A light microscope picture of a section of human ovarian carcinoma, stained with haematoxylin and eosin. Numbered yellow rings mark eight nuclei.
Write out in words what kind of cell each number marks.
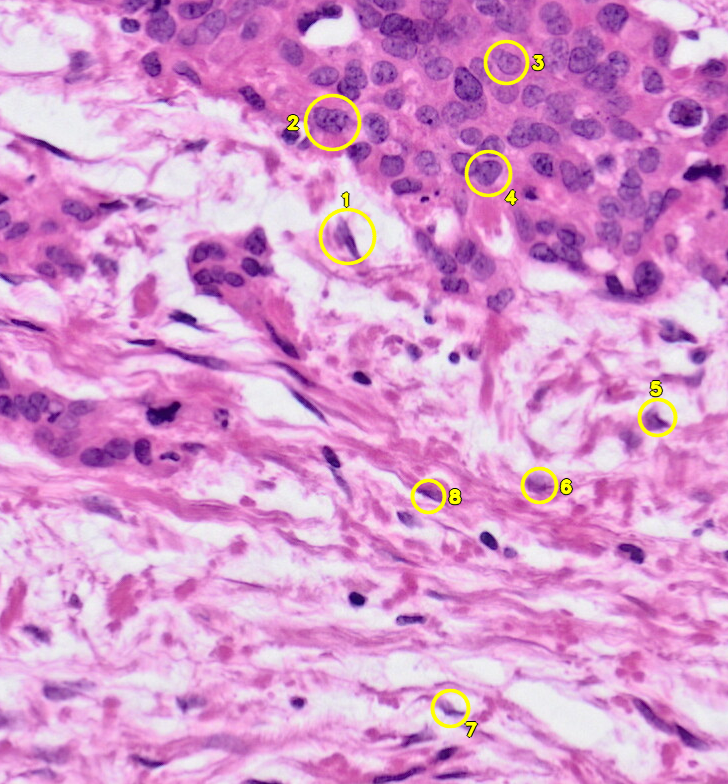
Cell 1 is a fibroblast, cell 2 is a carcinoma cell, cell 3 is a carcinoma cell, cell 4 is a carcinoma cell, cell 5 is a fibroblast, cell 6 is a fibroblast, cell 7 is a fibroblast and cell 8 is a fibroblast.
